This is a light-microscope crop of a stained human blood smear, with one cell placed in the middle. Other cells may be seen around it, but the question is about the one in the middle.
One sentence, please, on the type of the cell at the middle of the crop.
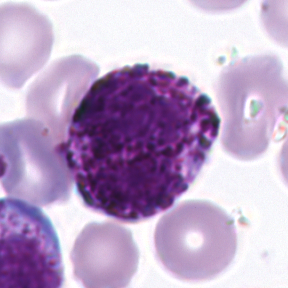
The central cell shown in this smear crop is a basophil.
